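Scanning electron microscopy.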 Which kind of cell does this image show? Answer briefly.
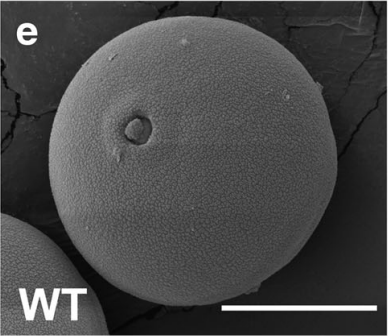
pollen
